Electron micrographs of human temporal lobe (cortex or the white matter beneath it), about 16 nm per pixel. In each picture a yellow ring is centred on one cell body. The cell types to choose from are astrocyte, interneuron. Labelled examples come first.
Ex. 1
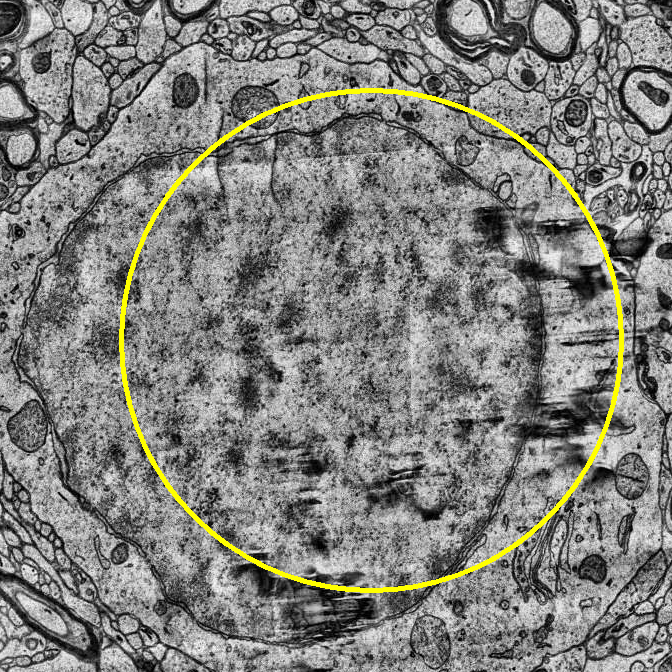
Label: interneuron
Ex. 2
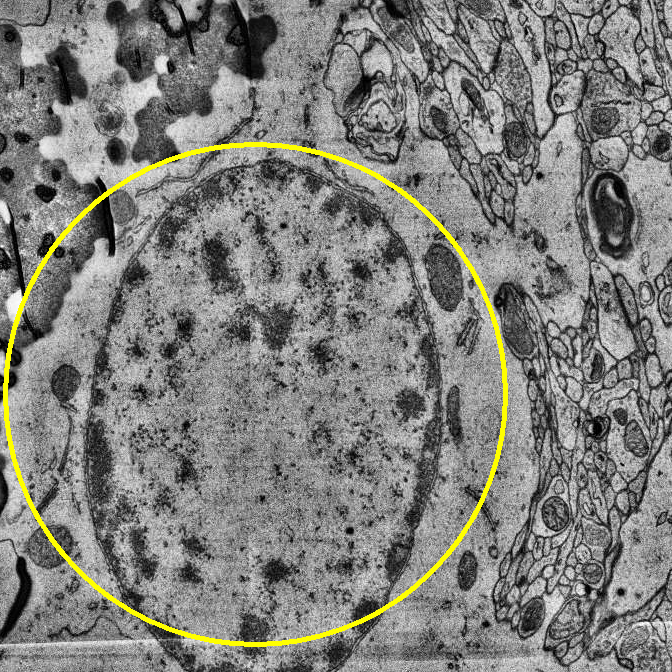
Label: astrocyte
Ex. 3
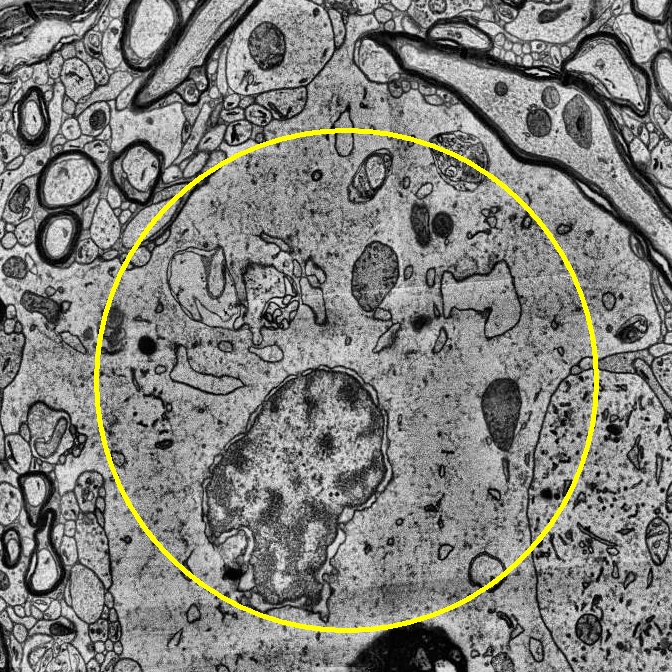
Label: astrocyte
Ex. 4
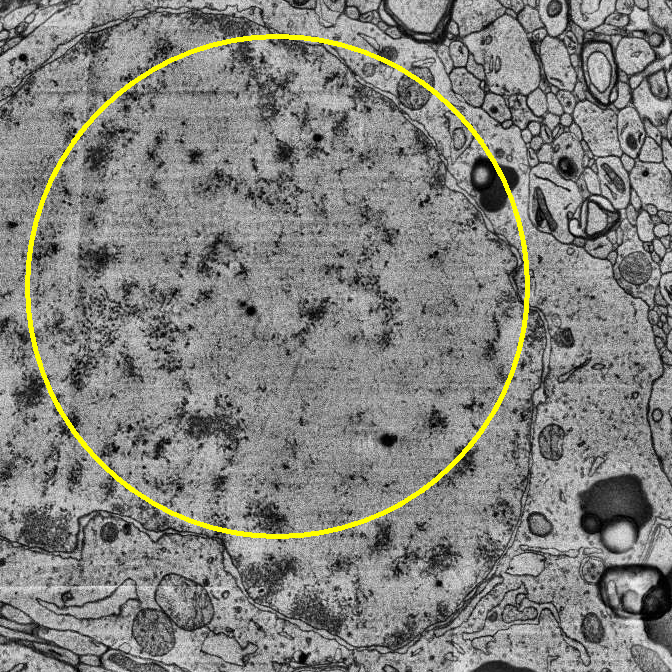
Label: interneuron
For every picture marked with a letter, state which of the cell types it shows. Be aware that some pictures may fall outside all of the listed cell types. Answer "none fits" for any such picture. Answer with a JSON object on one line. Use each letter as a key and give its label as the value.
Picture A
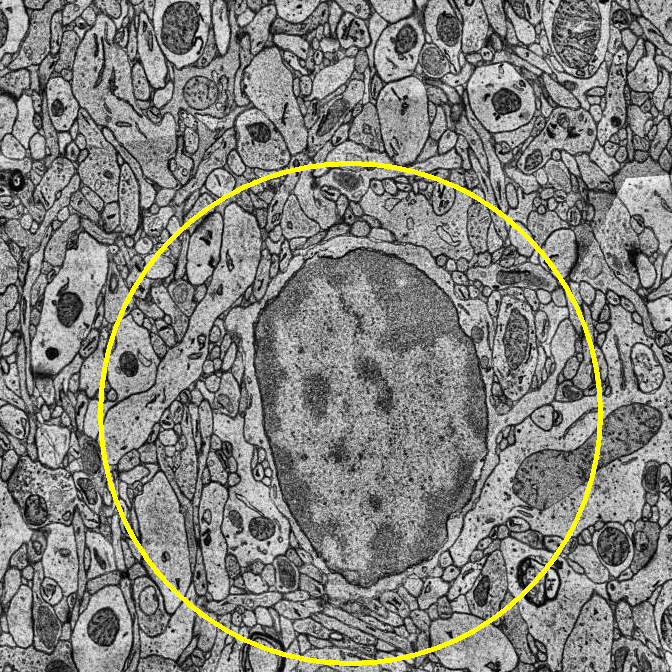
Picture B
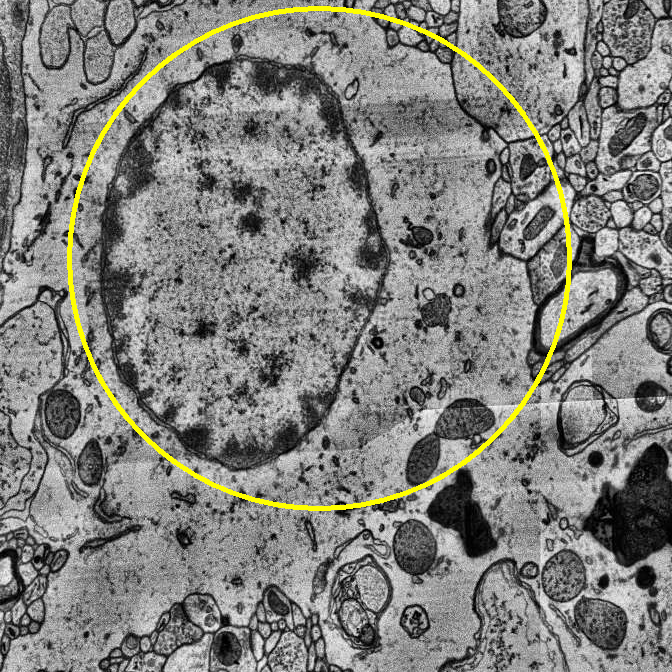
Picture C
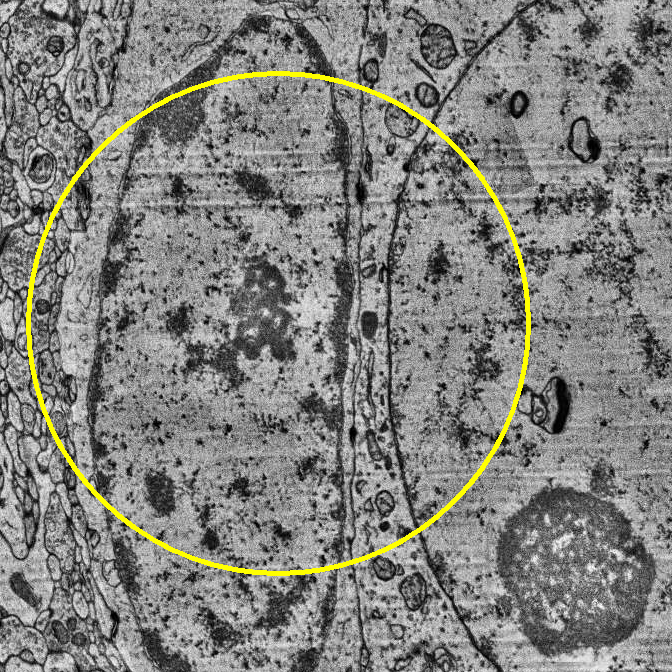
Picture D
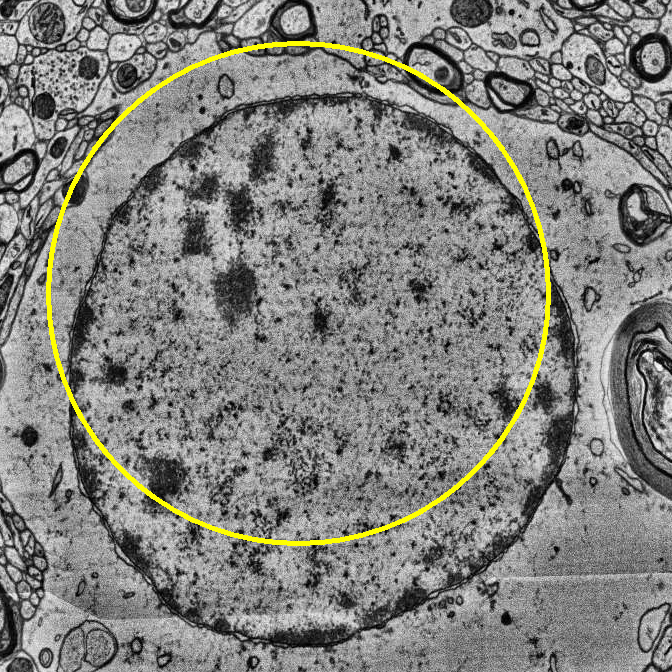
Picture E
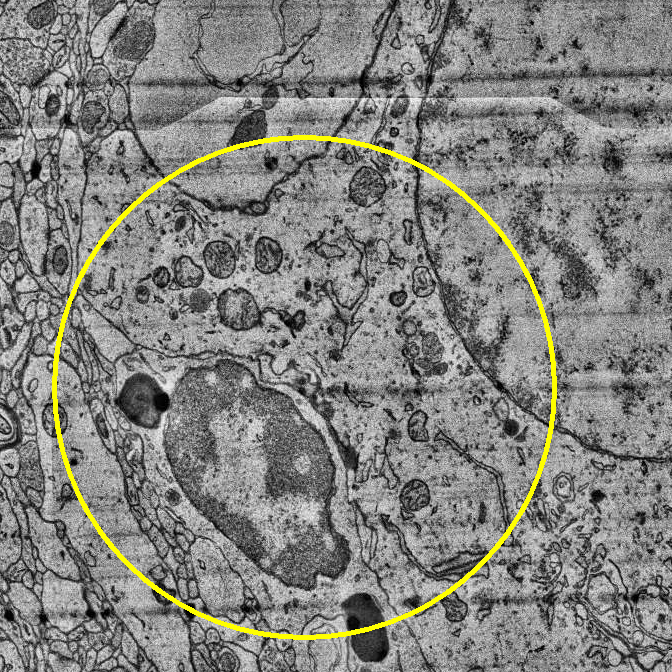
{"A": "none fits", "B": "astrocyte", "C": "none fits", "D": "astrocyte", "E": "none fits"}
